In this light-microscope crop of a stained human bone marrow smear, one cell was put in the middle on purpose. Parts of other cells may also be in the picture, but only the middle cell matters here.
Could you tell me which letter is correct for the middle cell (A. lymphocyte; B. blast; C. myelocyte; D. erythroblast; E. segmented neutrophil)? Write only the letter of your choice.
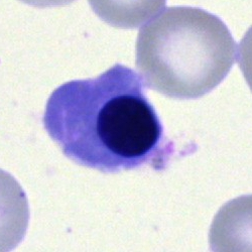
D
